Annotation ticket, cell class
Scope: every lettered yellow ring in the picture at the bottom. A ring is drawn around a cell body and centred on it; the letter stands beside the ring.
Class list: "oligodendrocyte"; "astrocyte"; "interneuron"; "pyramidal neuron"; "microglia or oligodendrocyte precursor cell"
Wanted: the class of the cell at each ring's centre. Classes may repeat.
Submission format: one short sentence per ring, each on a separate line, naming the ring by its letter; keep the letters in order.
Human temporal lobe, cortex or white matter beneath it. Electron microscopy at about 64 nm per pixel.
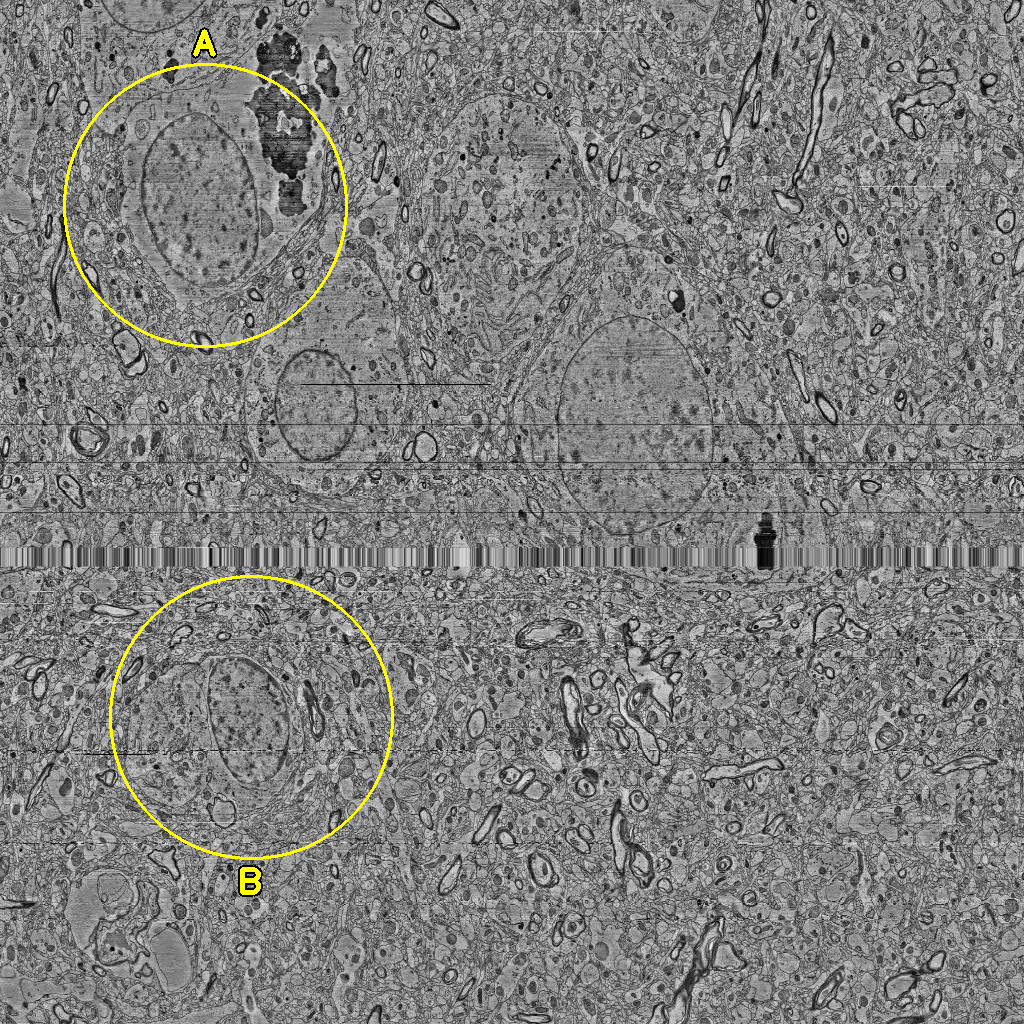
The centre of ring A is occupied by an astrocyte.
The centre of ring B is occupied by a microglial cell or oligodendrocyte precursor cell.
